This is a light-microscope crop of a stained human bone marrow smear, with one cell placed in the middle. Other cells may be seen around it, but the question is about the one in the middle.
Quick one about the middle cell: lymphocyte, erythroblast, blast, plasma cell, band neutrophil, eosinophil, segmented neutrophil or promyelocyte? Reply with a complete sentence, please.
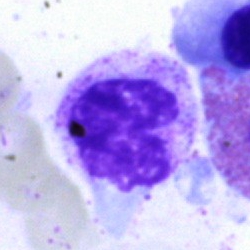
Framed in the middle of the crop is a band neutrophil.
